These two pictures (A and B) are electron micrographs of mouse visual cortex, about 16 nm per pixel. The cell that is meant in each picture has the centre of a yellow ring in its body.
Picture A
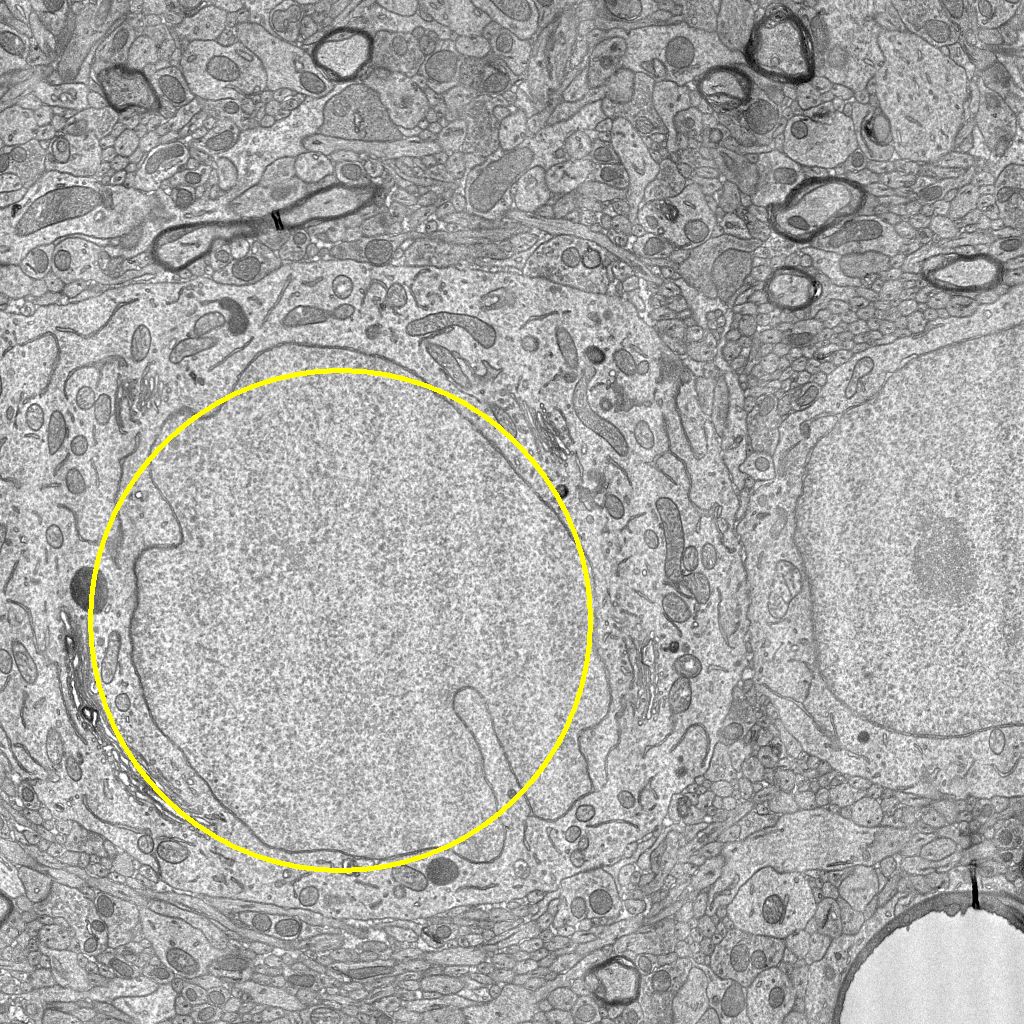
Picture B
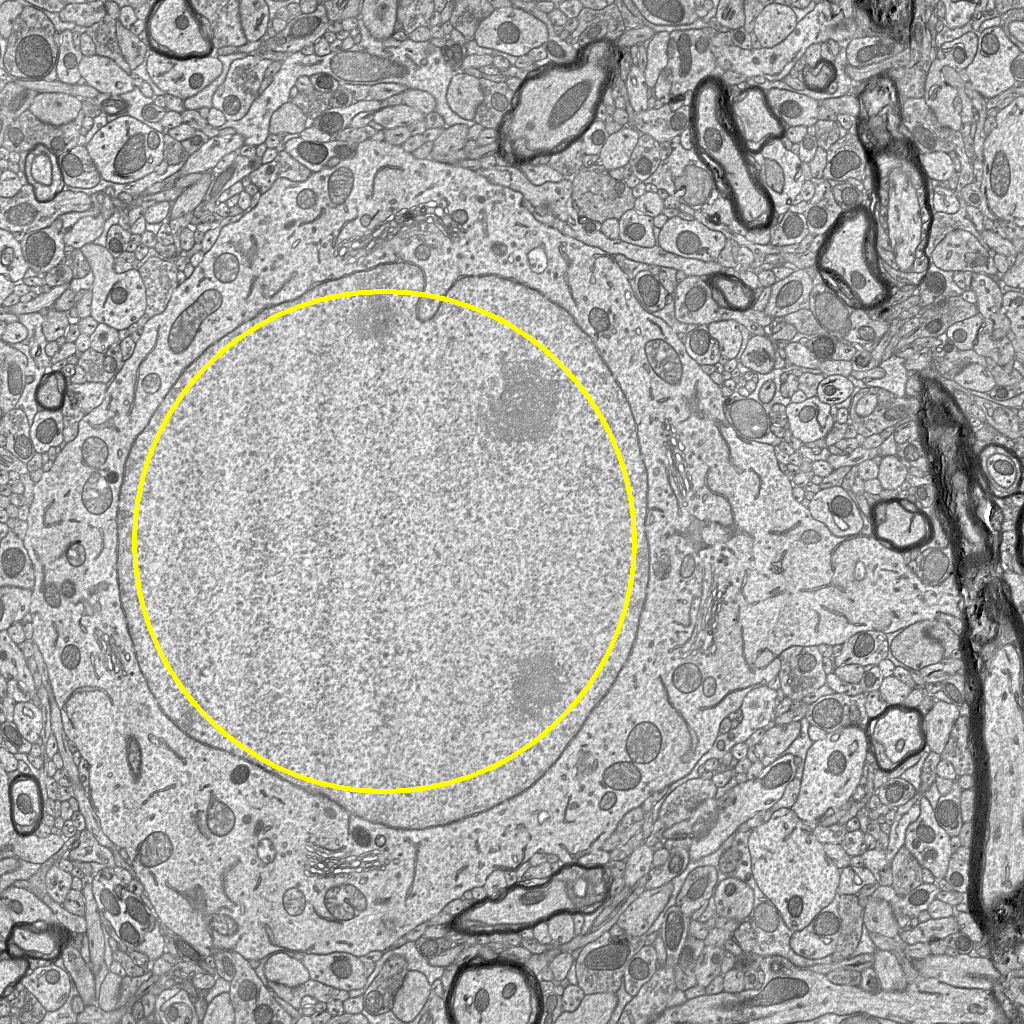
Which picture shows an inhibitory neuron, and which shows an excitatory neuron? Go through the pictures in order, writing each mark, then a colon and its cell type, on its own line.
A: inhibitory neuron
B: excitatory neuron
